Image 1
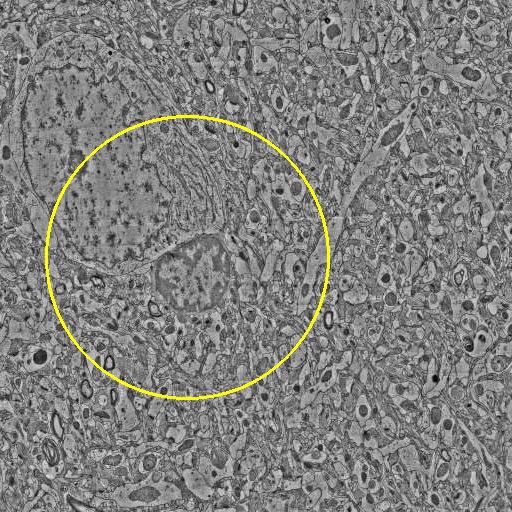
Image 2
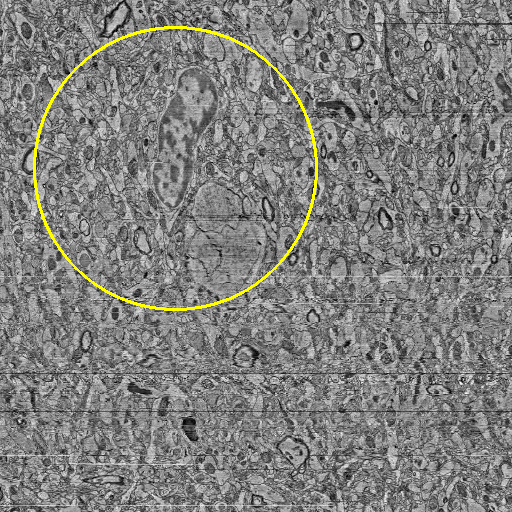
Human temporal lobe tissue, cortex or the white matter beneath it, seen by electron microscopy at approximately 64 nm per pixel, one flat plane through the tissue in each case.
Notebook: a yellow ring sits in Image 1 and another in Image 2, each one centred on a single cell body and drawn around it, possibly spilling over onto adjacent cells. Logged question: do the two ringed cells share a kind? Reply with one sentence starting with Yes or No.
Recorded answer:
No, the centre cells inside the rings of Image 1 and Image 2 are of two kinds.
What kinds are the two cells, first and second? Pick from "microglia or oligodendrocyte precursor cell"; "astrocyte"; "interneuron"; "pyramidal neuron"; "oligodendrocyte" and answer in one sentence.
The second picture holds a microglial cell or oligodendrocyte precursor cell in its ring, and the first holds an oligodendrocyte.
